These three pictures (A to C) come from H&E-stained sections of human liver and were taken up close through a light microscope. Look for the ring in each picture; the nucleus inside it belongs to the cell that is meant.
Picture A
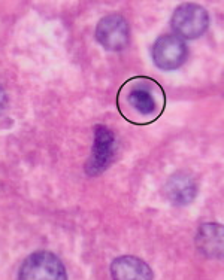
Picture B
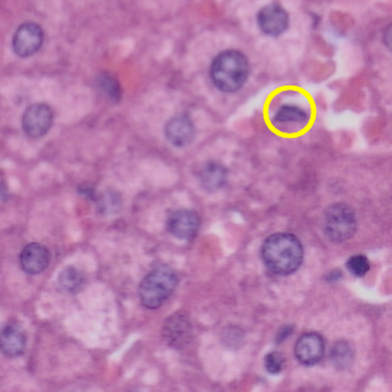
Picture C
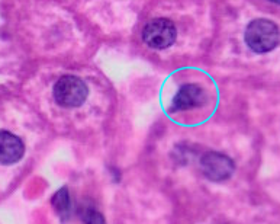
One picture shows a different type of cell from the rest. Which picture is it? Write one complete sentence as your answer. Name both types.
The others show endothelial cells, but picture A shows a lymphocyte.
